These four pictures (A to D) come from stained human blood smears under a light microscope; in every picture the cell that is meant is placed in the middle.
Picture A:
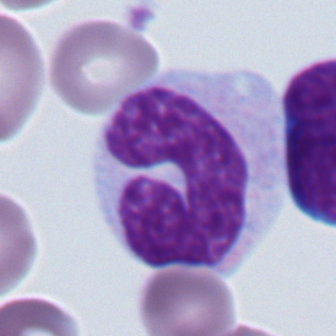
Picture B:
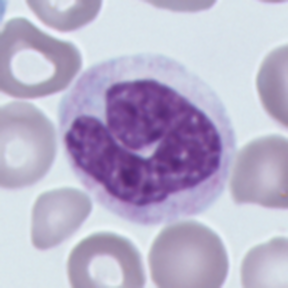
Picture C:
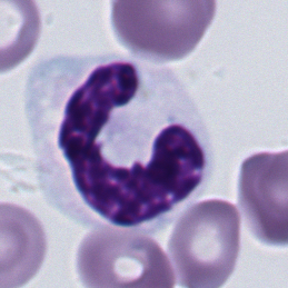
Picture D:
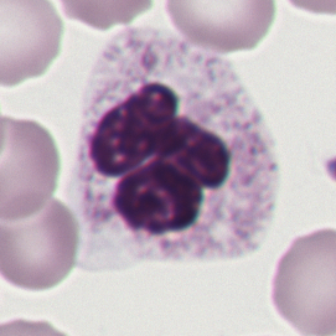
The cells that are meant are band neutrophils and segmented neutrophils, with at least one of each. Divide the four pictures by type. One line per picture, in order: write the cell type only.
band neutrophil
band neutrophil
band neutrophil
segmented neutrophil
